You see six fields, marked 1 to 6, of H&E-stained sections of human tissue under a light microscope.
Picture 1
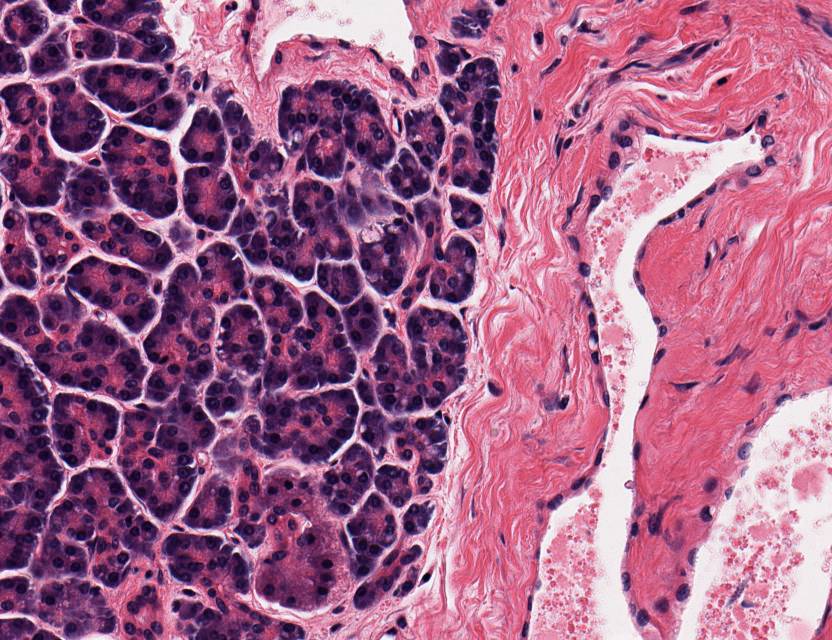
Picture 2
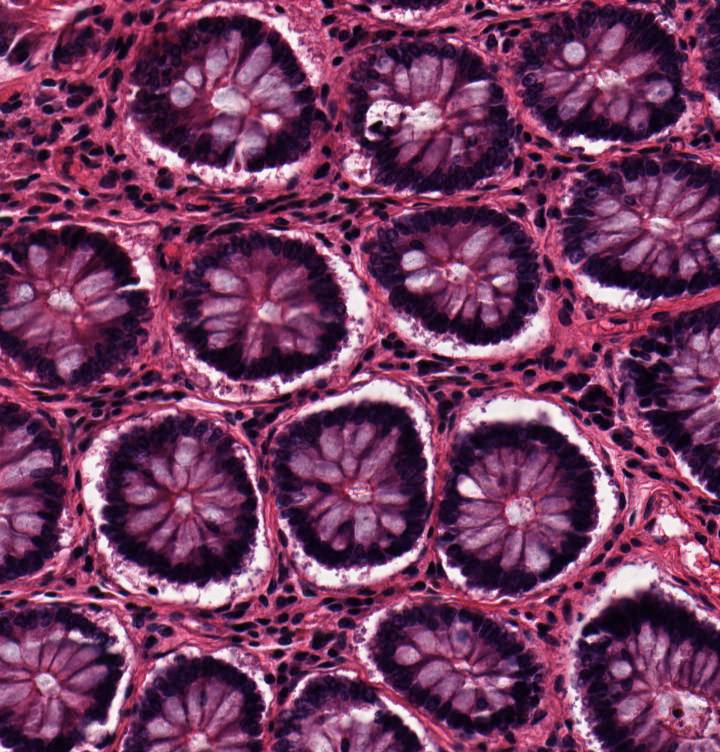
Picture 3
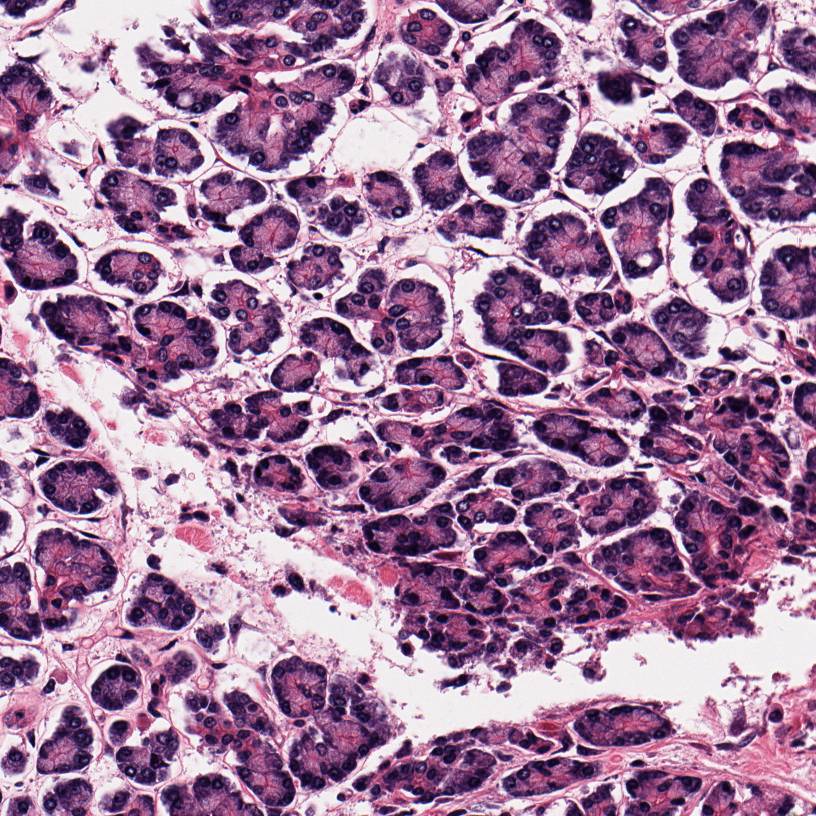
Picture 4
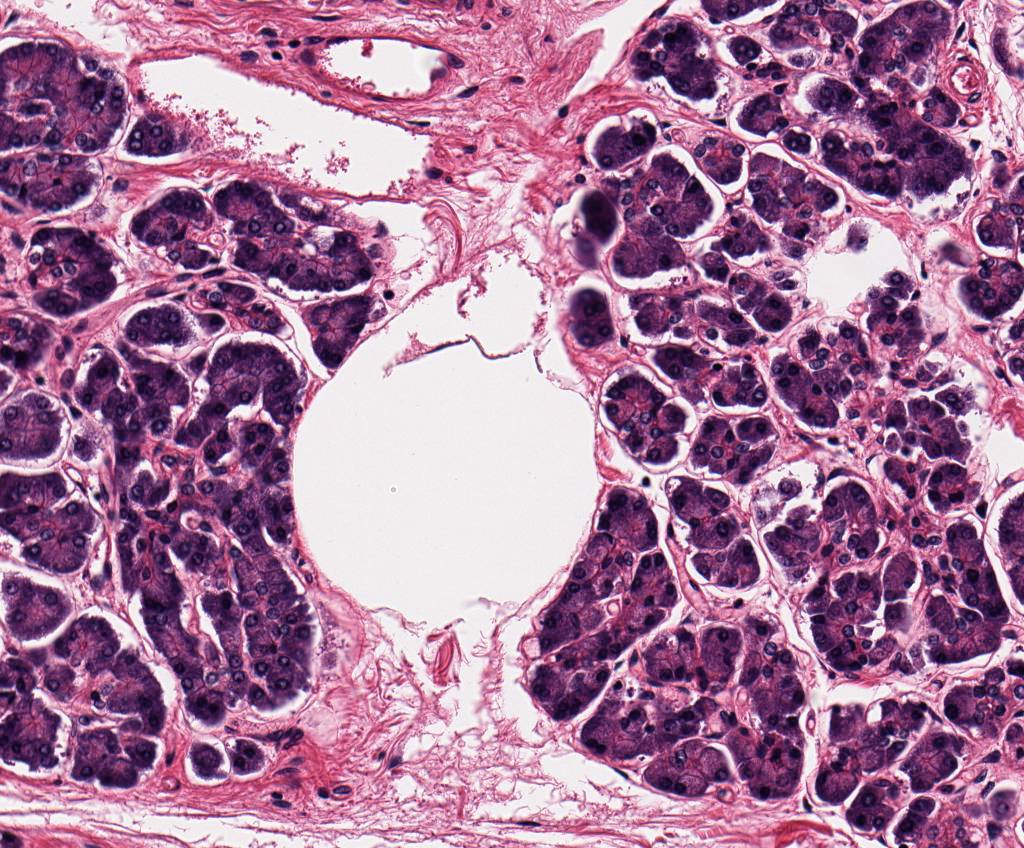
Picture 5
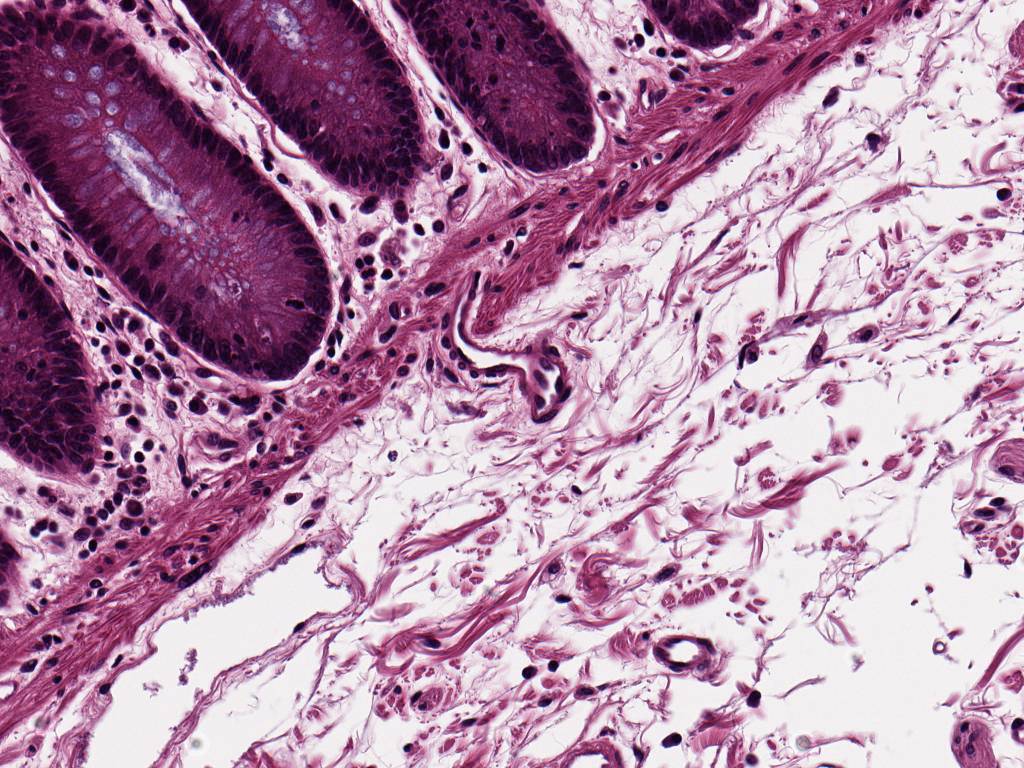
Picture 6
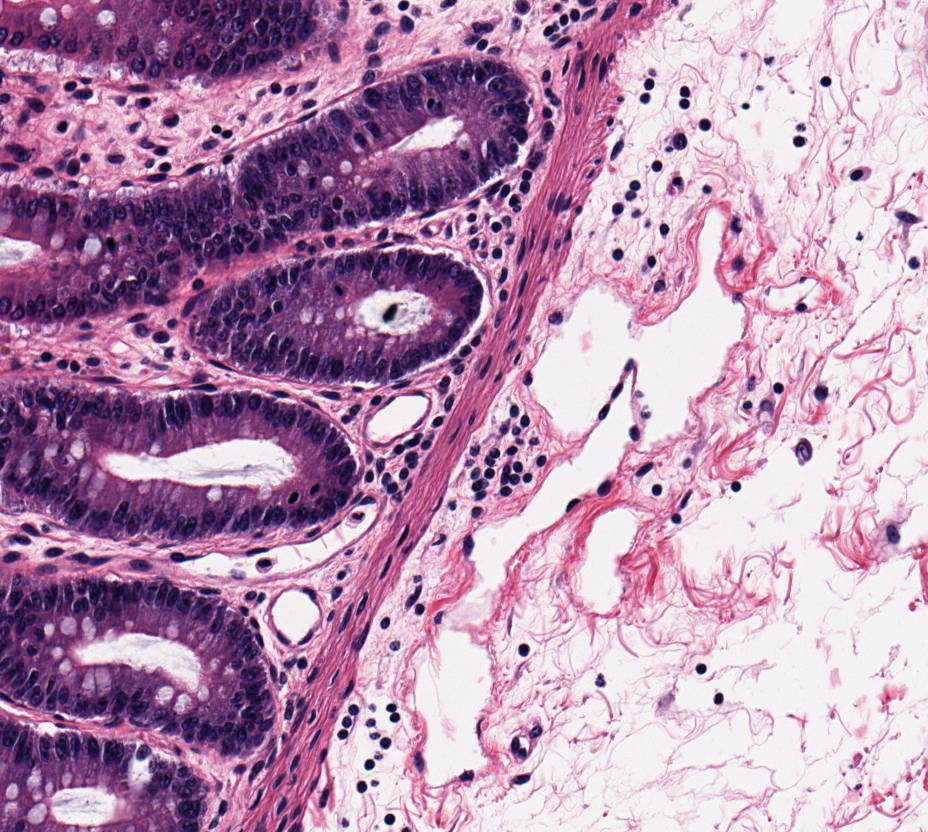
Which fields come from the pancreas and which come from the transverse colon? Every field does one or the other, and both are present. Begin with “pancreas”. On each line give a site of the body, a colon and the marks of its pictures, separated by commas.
pancreas: 1, 3, 4
transverse colon: 2, 5, 6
